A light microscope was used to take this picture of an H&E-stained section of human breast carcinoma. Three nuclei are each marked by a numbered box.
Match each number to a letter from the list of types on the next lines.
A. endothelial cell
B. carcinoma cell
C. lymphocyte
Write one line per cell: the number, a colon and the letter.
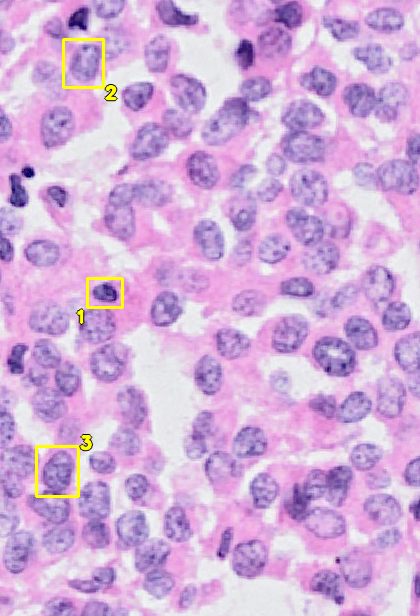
1: C
2: B
3: B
